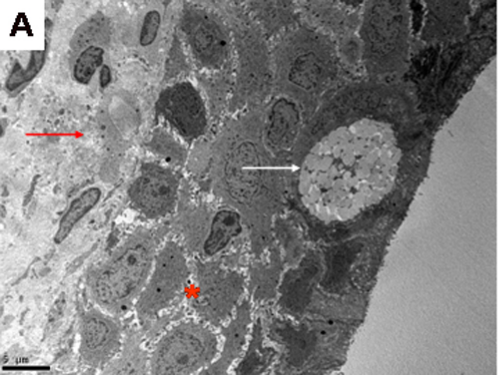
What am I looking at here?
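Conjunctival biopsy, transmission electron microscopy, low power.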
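Near the surface a large rounded goblet cell is filled with many pale, closely packed granules surrounded by a dark rim of cytoplasm. To the left lies paler, looser stromal tissue containing scattered cells with elongated nuclei.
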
